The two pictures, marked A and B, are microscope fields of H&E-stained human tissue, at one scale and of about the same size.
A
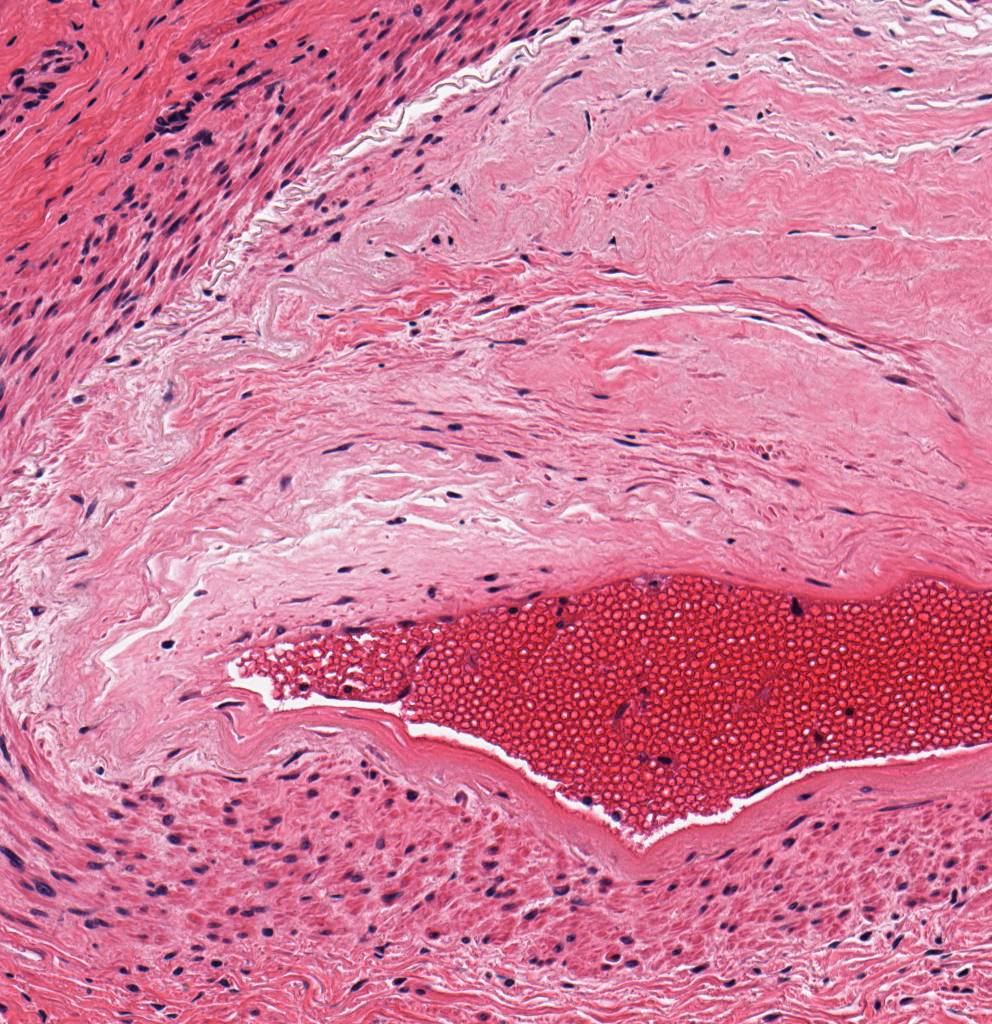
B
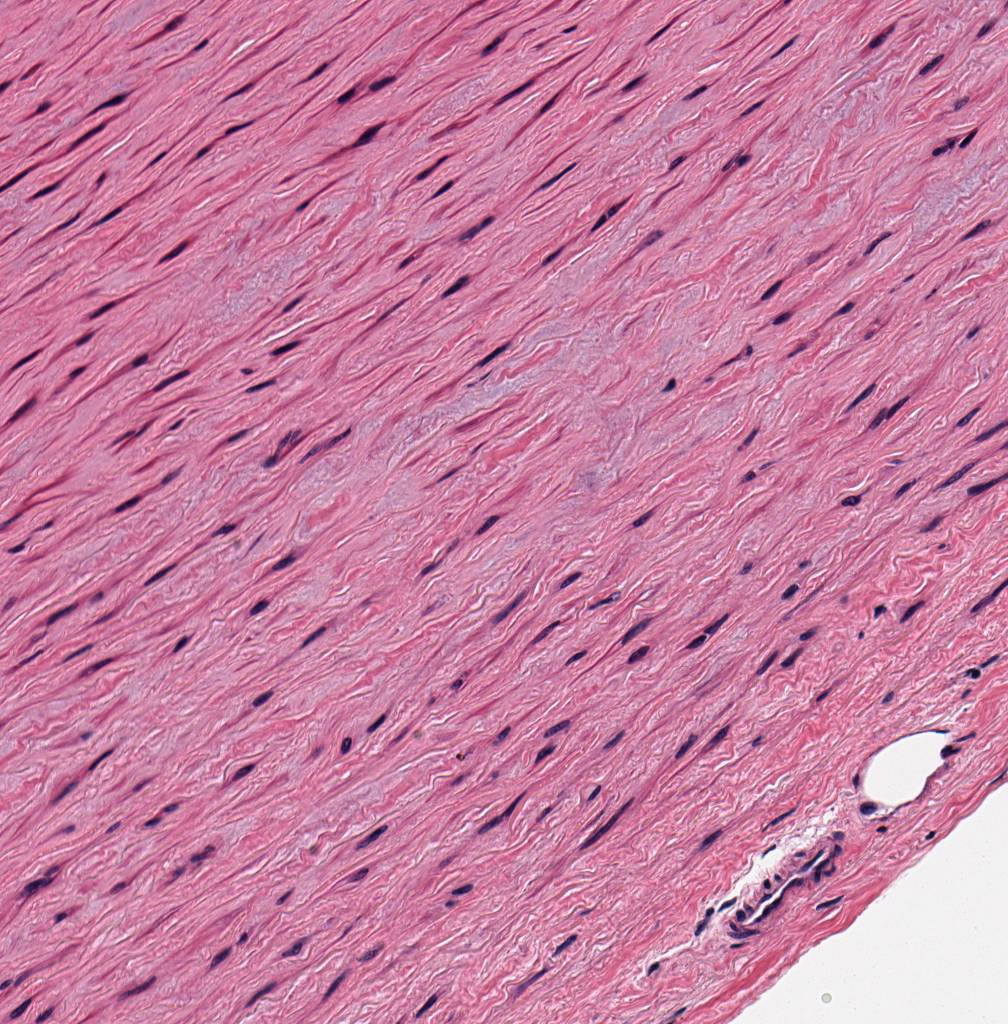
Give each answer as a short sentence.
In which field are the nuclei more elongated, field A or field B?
The nuclei are more elongated in field B.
